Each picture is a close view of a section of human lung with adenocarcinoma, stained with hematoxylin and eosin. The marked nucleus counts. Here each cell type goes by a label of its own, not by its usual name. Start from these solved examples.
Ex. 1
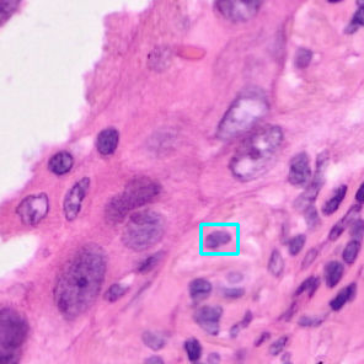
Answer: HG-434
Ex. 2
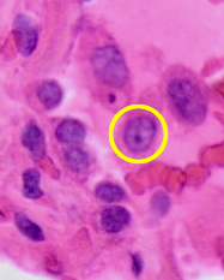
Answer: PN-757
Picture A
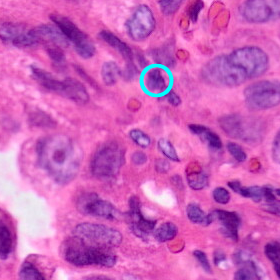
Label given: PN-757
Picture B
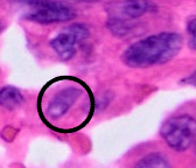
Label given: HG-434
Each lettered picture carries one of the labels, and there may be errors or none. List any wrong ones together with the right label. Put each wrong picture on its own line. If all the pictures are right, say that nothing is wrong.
A: not PN-757 but HG-434
B: not HG-434 but PN-757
